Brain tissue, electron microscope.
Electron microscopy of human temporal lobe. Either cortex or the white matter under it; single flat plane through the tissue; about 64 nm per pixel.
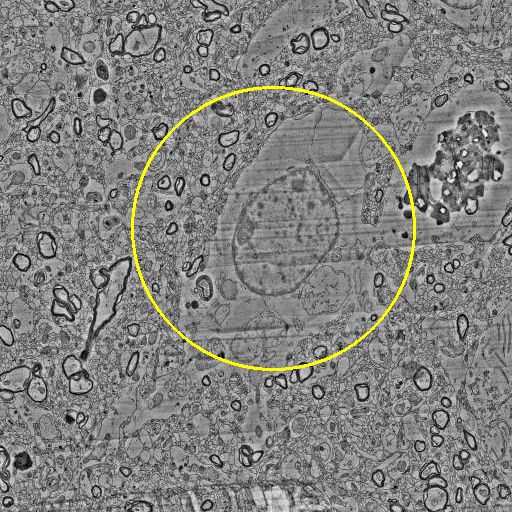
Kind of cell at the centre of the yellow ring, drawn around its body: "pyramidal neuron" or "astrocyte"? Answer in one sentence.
The ring's centre falls on an astrocyte.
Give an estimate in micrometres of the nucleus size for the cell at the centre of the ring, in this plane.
In this plane, approximately 9 by 6 micrometers.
